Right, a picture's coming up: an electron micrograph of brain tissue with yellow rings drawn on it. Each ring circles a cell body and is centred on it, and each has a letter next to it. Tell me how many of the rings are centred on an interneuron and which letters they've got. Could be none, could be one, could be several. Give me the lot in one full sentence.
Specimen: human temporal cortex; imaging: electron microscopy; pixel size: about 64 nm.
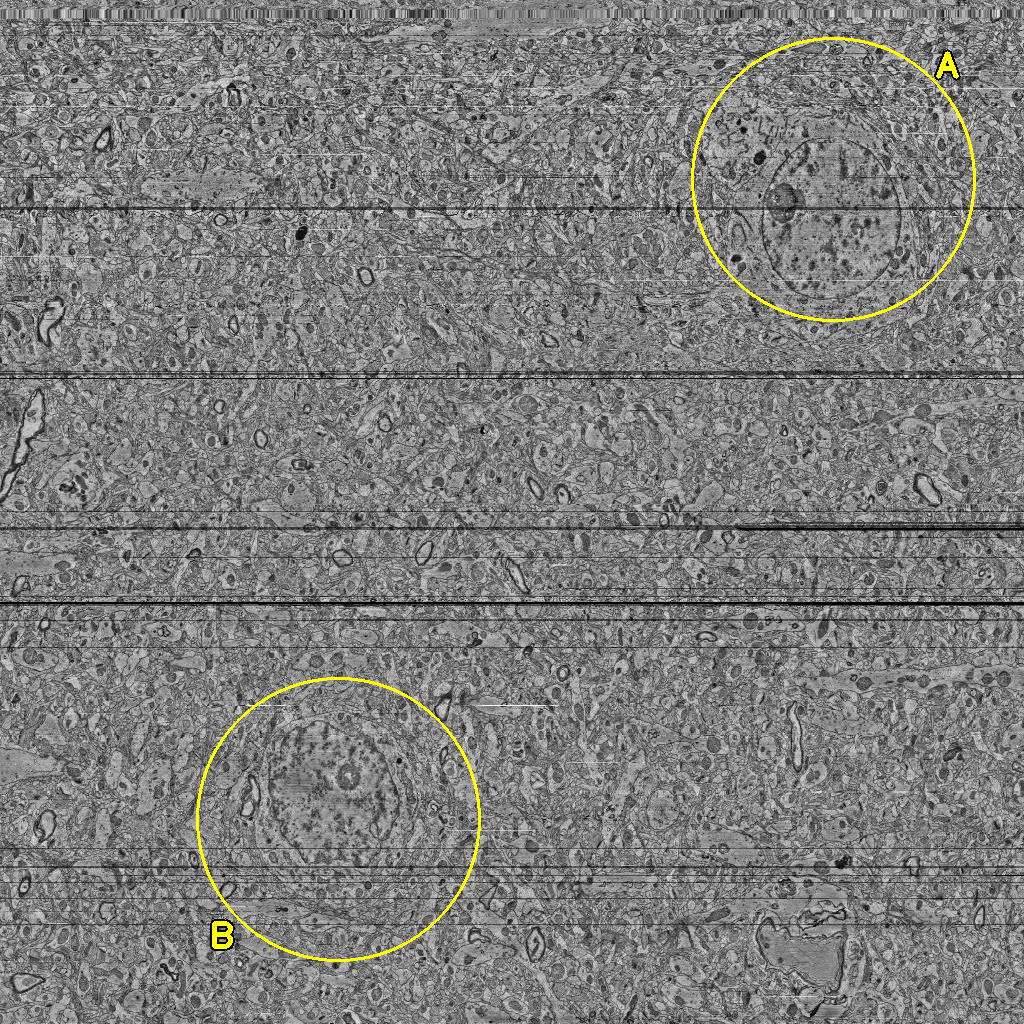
One ring alone is centred on an interneuron, and the letter by that ring is B.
